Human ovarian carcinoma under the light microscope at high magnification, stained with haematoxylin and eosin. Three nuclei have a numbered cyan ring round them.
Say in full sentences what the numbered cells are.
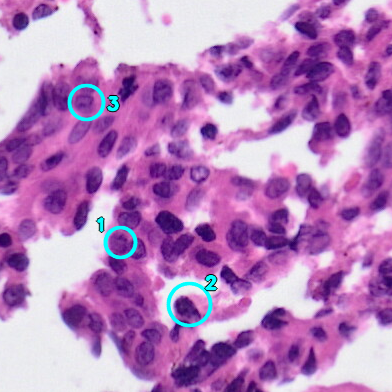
Cell 1 is a carcinoma cell, cell 2 is a macrophage or monocyte and cell 3 is a carcinoma cell.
